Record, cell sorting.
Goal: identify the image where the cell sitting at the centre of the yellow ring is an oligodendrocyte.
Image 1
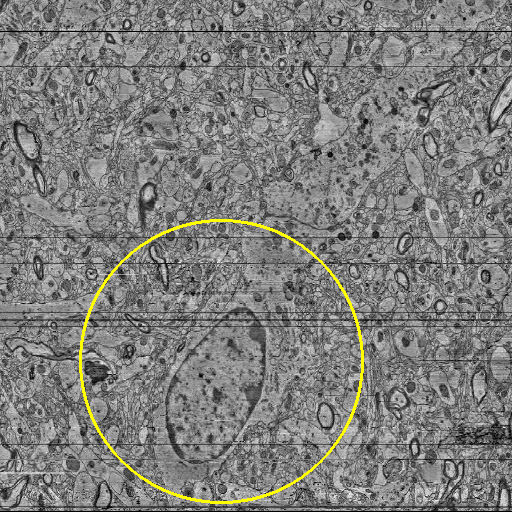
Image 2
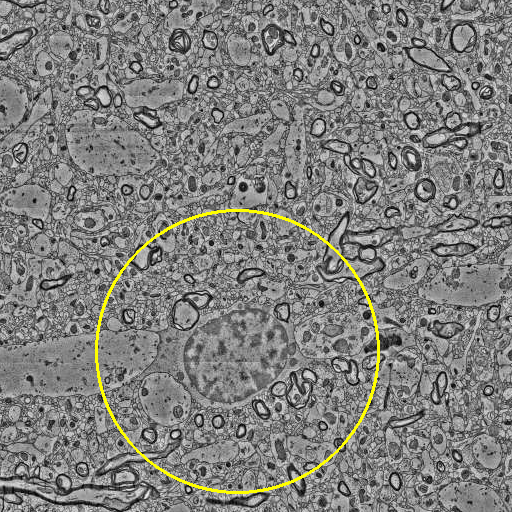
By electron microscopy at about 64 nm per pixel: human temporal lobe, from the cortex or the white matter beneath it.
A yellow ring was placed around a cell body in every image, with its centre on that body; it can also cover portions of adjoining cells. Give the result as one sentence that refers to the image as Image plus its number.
Image 2 shows the requested cell sitting right at the centre of its ring.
